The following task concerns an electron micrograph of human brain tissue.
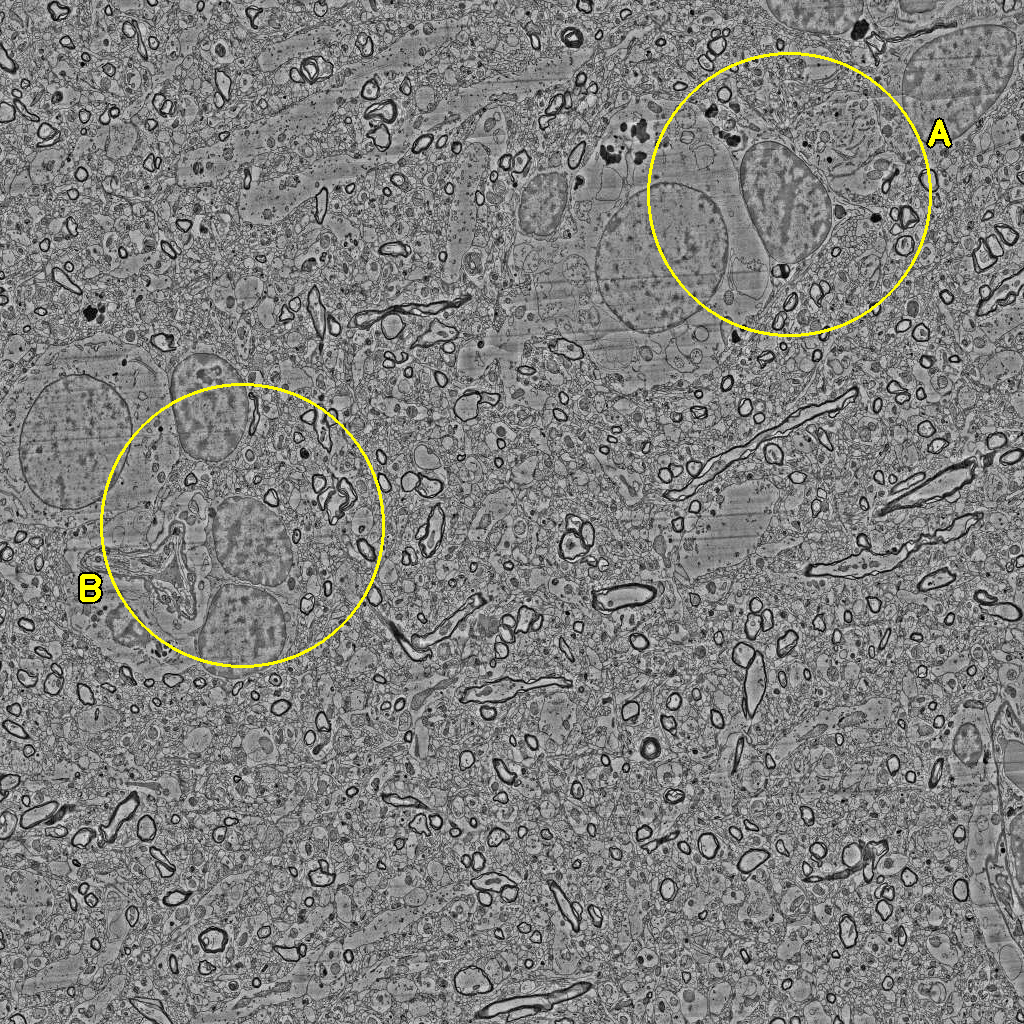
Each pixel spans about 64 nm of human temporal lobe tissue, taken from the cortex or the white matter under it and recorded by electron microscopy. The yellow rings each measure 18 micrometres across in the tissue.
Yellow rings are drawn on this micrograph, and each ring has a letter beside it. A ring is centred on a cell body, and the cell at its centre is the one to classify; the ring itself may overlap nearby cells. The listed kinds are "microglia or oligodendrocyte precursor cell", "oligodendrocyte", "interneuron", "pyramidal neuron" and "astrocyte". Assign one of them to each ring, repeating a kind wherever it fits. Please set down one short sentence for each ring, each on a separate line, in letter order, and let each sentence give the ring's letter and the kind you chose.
The cell ringed as A is a microglial cell or oligodendrocyte precursor cell.
The cell ringed as B is an oligodendrocyte.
